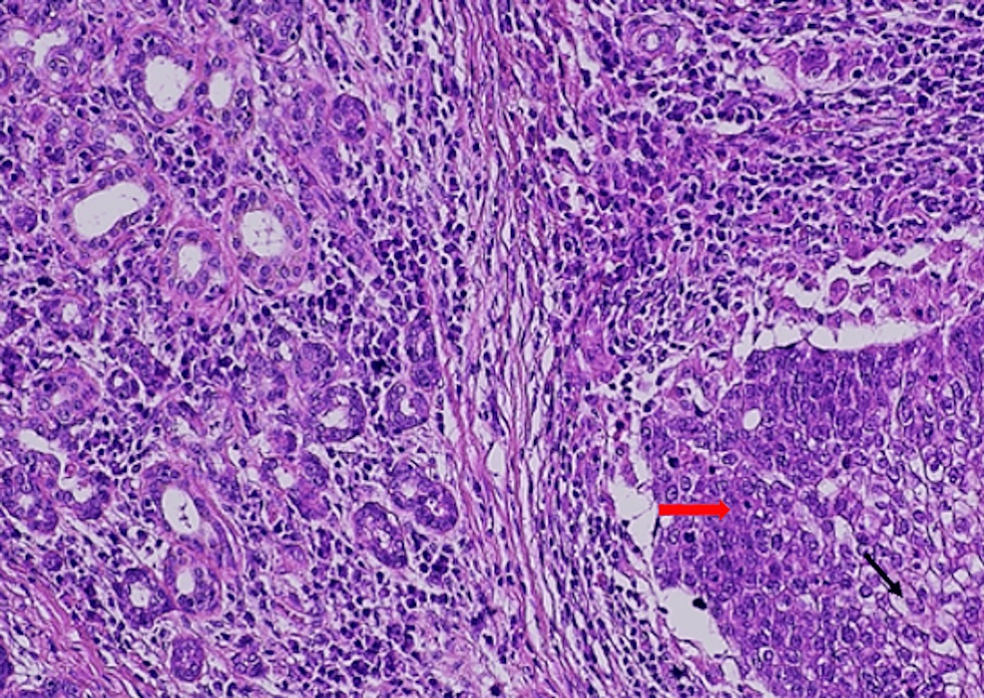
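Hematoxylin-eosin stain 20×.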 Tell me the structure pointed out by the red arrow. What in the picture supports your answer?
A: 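The arrow points into a compact sheet of crowded cells with no lumens. The sheet is set apart from the looser stroma and glands on the left.
Solid tumor nest.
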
